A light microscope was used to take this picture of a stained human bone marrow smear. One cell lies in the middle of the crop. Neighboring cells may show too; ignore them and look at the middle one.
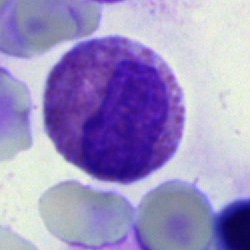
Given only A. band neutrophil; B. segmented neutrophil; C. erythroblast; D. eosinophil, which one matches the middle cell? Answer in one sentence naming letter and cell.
Option D is to be chosen, as the central cell is an eosinophil.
